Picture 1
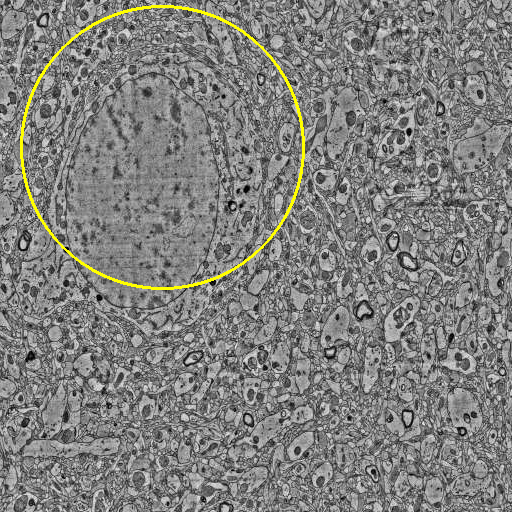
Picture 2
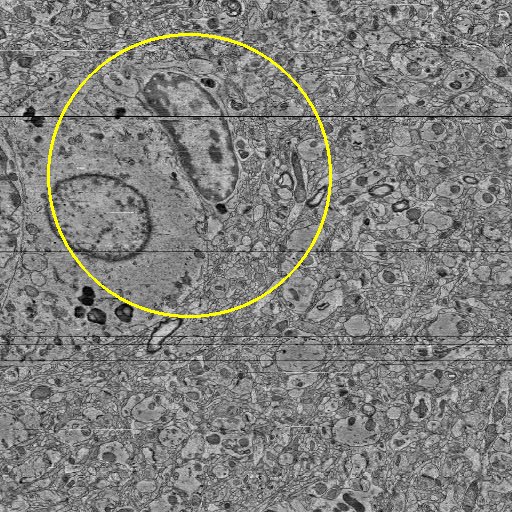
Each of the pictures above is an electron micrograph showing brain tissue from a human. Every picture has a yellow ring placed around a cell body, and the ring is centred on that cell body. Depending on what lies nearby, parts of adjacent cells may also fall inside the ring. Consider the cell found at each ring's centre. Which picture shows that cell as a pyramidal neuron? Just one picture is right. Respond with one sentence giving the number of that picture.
The picture showing the wanted cell at the ring's centre is number 1.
